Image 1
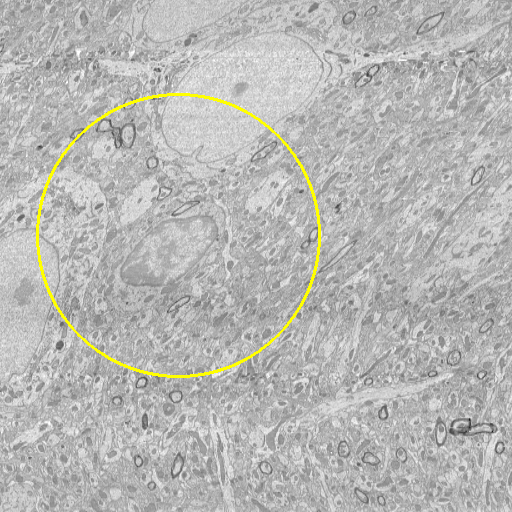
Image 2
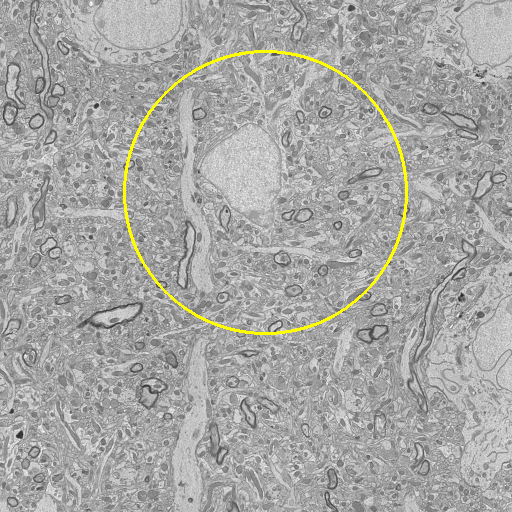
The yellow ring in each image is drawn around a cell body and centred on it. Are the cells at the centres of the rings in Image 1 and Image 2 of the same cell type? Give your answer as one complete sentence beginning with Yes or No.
No, the two cells are of two separate types.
